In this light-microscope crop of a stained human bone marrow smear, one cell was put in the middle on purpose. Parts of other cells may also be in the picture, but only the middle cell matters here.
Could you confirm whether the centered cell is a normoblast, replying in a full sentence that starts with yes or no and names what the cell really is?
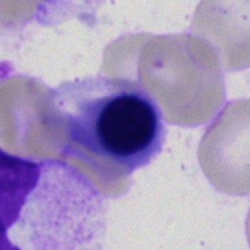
Yes, the cell placed centrally within the crop is a normoblast.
